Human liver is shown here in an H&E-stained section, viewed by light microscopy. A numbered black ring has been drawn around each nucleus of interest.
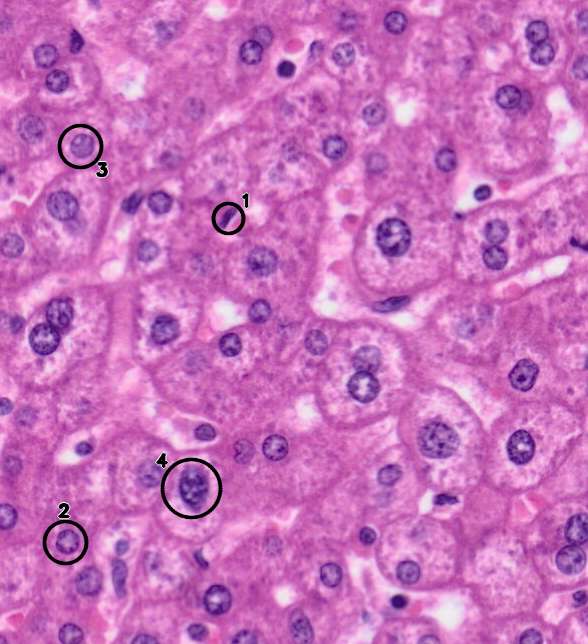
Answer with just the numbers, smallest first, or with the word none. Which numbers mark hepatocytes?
2, 3, 4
